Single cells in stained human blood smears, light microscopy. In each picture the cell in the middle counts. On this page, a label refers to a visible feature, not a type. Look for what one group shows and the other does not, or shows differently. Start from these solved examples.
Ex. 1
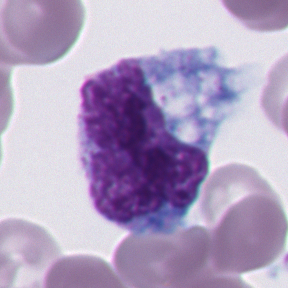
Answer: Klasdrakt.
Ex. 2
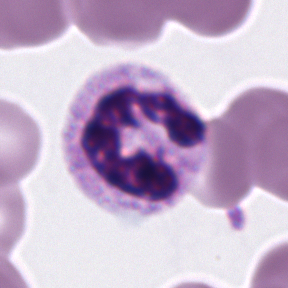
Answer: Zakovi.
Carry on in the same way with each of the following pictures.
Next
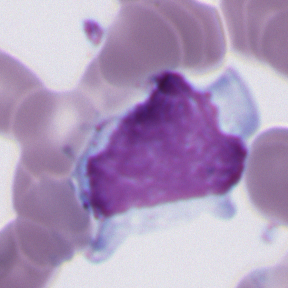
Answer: Klasdrakt.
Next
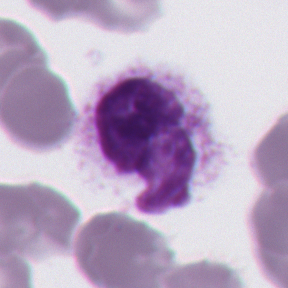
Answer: Klasdrakt.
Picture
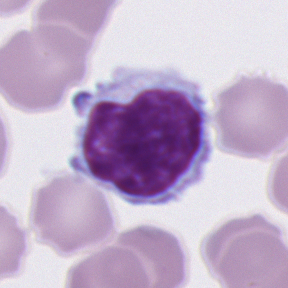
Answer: Klasdrakt.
